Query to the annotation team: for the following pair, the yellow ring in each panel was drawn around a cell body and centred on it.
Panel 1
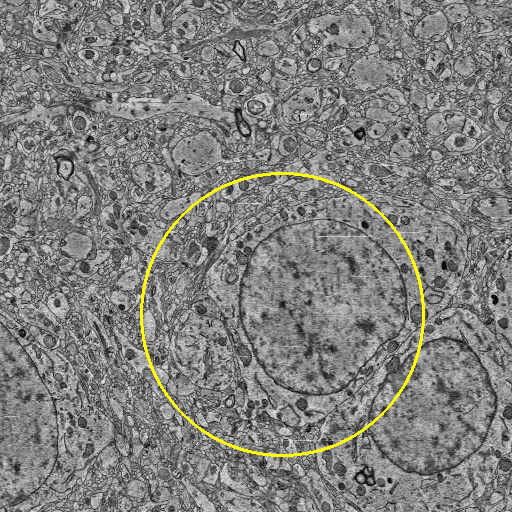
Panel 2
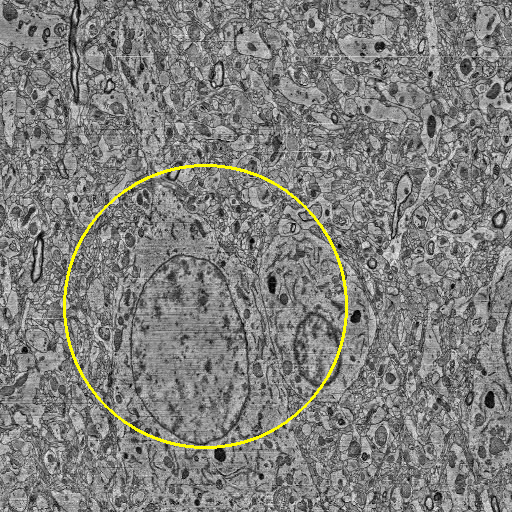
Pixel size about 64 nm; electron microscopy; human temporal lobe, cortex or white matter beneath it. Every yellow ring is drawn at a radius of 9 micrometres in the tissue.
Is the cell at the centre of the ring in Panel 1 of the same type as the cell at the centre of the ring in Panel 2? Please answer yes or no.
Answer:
yes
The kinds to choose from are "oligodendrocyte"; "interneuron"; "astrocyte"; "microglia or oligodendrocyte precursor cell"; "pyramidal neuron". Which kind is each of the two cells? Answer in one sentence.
The first and the second cell are each a pyramidal neuron.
